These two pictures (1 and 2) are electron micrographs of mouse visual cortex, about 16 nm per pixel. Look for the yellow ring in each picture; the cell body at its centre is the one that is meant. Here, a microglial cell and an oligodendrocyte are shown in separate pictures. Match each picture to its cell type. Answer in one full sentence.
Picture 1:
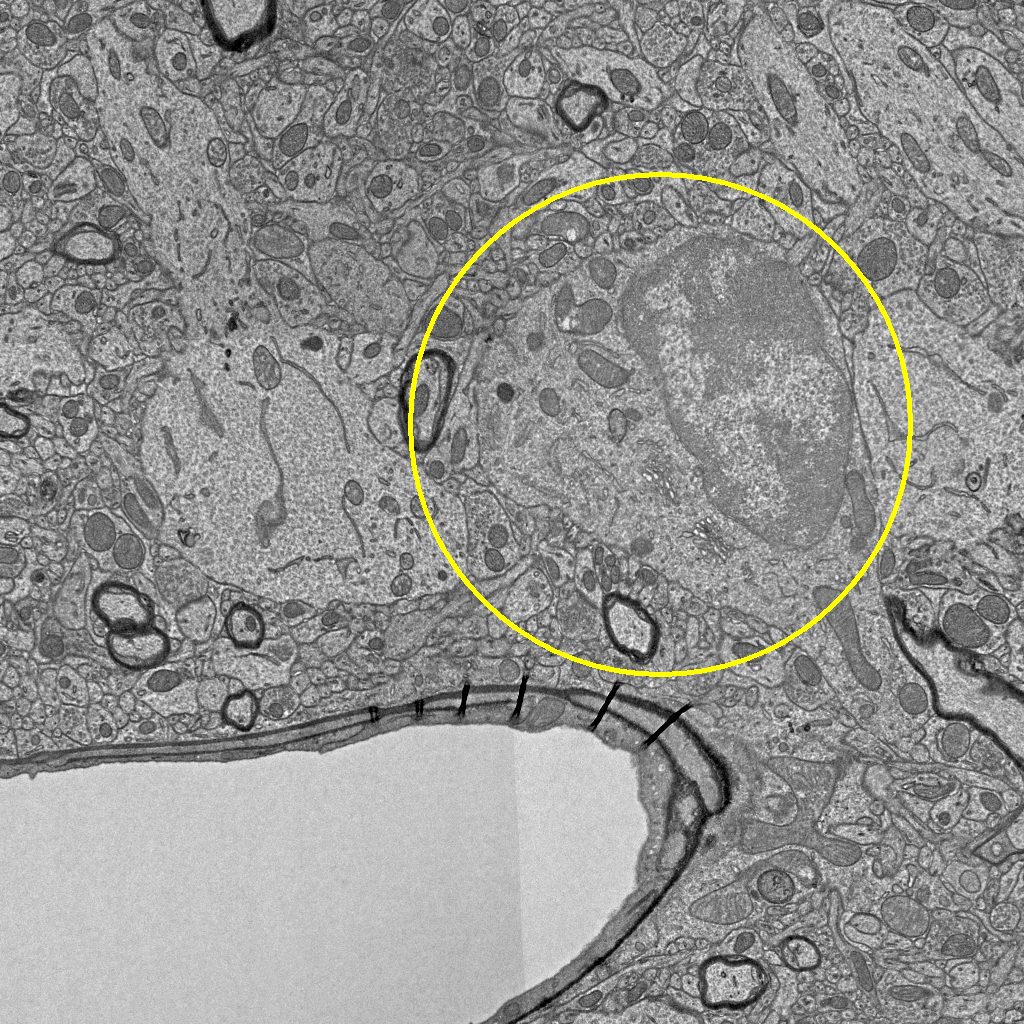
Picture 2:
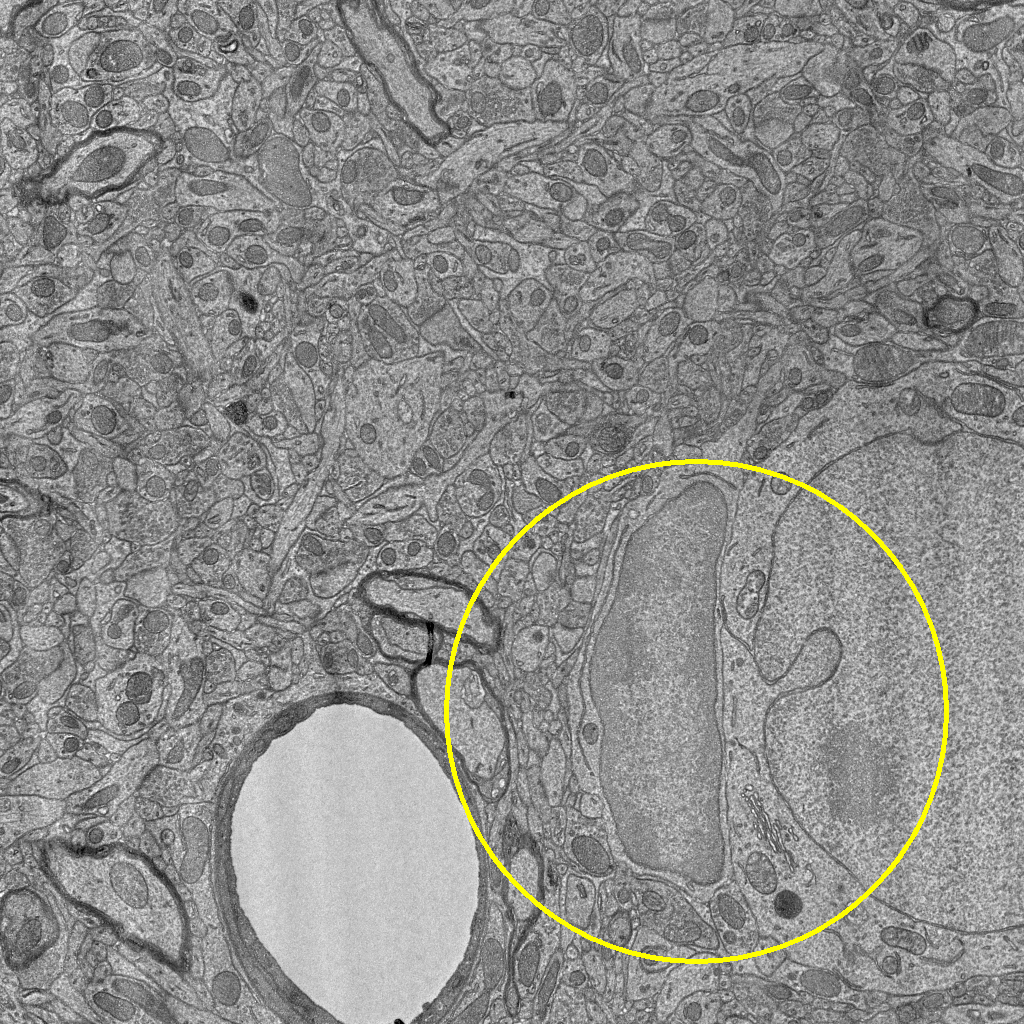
Picture 2 shows a microglial cell, while picture 1 shows an oligodendrocyte.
